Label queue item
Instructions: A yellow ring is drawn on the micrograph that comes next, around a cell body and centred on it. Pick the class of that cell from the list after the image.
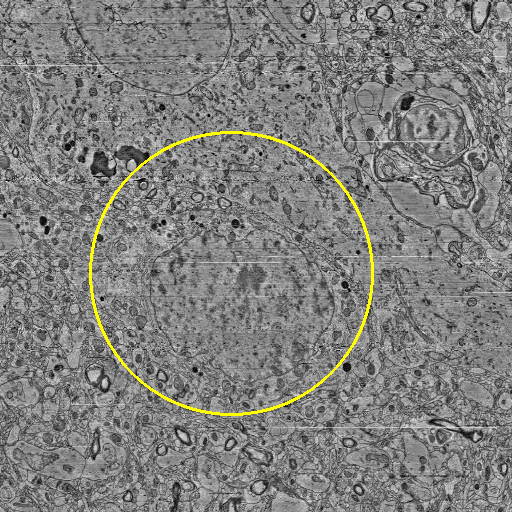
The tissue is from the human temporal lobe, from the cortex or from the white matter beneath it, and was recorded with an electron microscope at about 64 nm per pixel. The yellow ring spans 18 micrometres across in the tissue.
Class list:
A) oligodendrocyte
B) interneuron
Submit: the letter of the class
B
